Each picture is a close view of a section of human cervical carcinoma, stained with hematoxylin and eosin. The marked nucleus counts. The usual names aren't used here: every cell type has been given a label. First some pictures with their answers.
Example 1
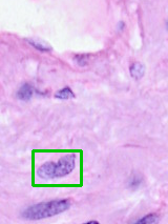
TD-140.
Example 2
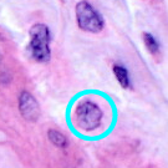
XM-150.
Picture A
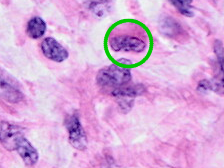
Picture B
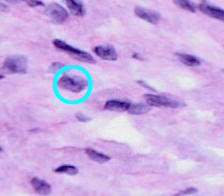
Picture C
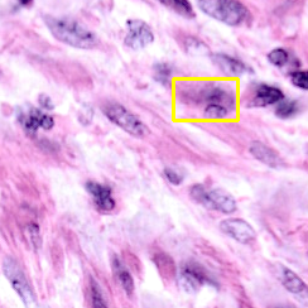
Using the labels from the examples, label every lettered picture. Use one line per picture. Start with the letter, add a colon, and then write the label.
A: XM-150.
B: TD-140.
C: XM-150.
